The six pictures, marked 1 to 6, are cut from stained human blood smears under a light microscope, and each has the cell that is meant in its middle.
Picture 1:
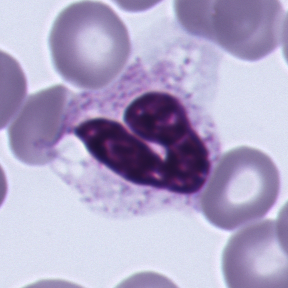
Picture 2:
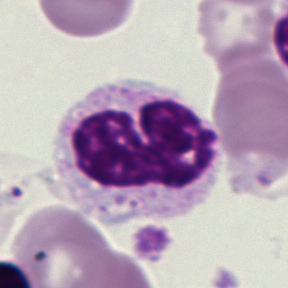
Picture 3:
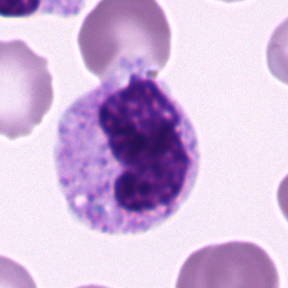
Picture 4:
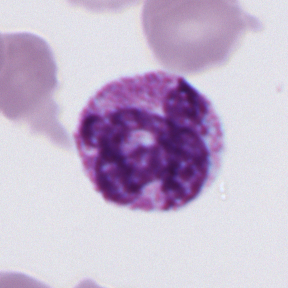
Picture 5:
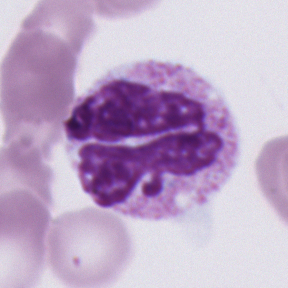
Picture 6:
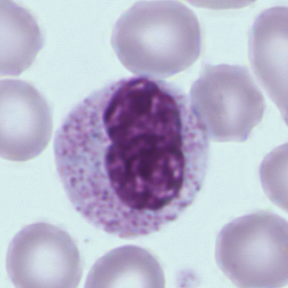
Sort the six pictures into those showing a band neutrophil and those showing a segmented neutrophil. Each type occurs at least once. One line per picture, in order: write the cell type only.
segmented neutrophil
band neutrophil
segmented neutrophil
segmented neutrophil
segmented neutrophil
band neutrophil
